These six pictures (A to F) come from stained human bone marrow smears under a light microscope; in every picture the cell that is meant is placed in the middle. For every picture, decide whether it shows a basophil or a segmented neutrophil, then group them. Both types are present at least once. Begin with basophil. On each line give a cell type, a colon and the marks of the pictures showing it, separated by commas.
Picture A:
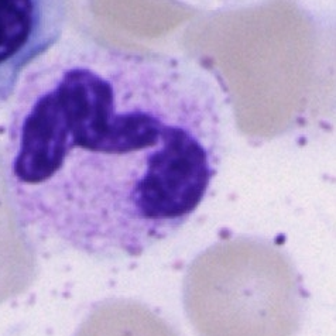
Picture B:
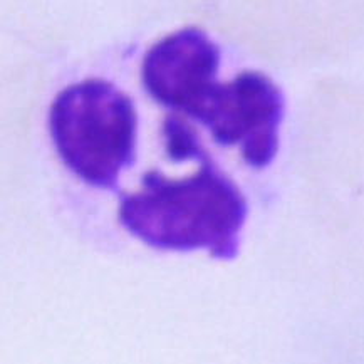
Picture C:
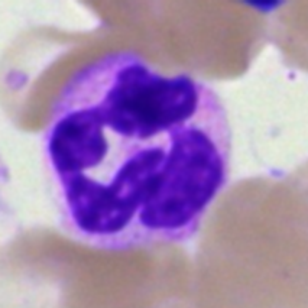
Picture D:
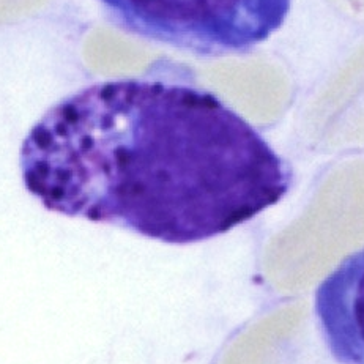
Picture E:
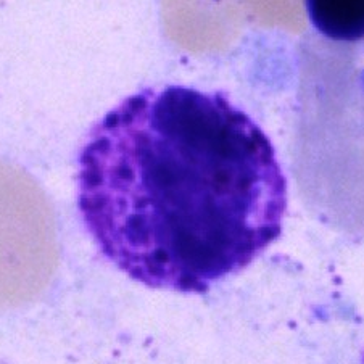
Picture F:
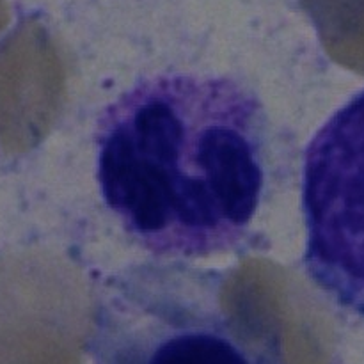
basophil: D, E, F
segmented neutrophil: A, B, C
